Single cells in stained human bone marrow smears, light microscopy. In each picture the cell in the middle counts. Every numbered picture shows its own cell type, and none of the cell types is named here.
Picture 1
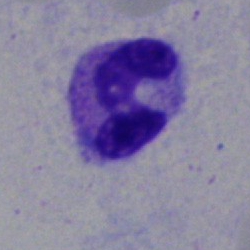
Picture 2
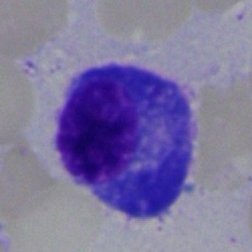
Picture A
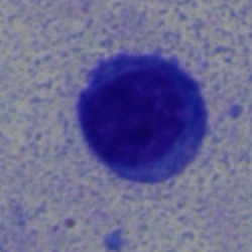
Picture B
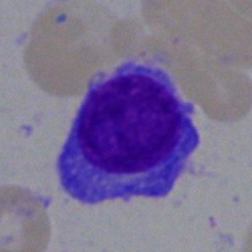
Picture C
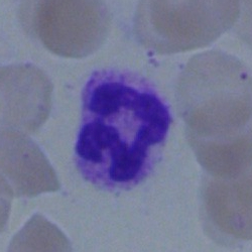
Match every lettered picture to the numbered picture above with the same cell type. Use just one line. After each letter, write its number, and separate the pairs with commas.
A 2, B 2, C 1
